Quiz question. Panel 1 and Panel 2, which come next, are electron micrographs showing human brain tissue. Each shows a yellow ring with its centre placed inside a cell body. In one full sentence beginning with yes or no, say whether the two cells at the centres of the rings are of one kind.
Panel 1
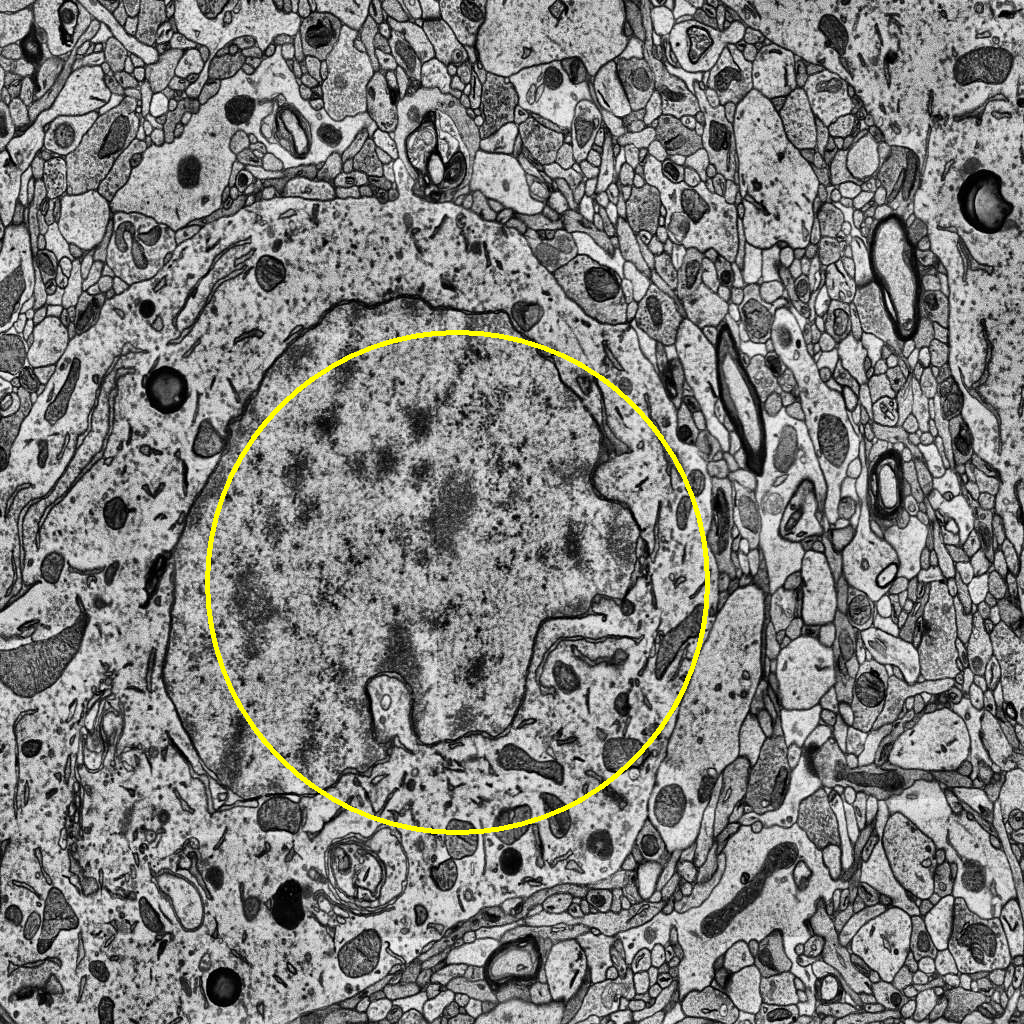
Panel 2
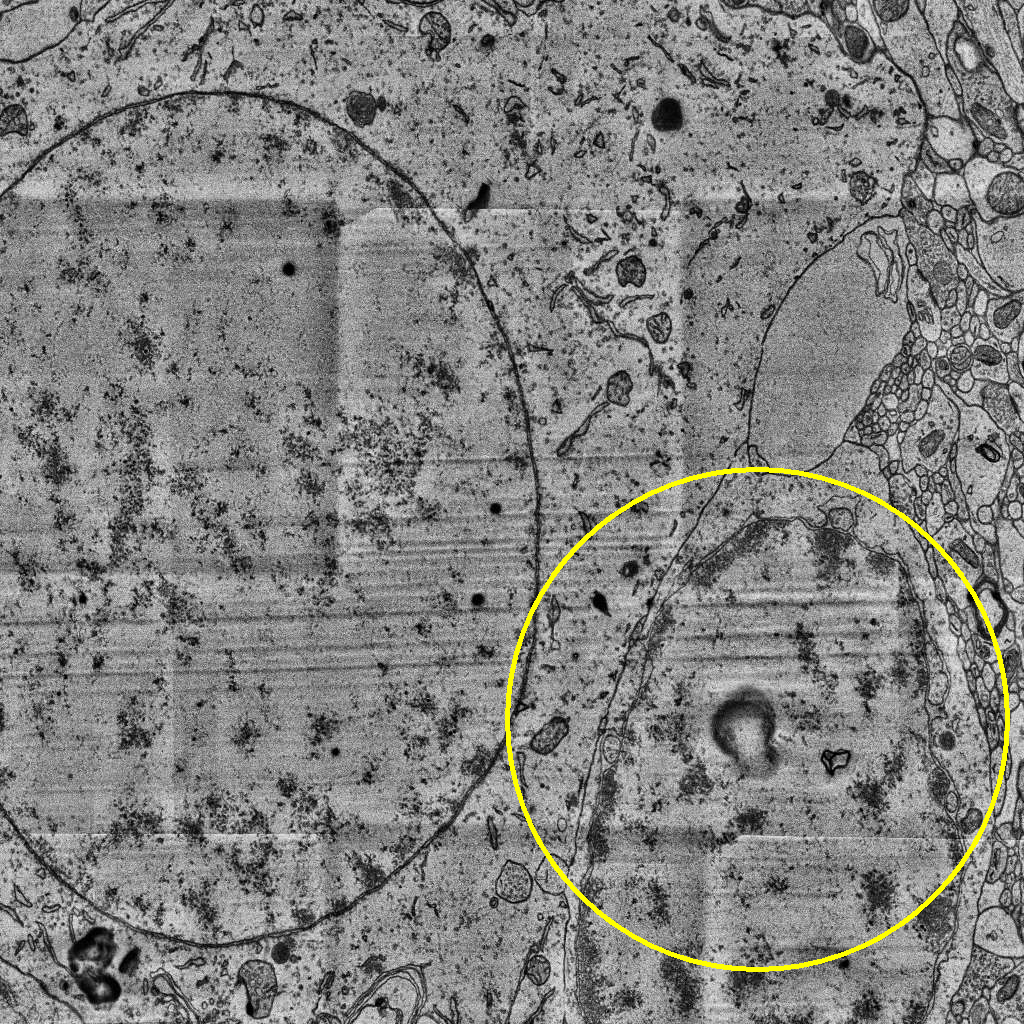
Yes, Panel 1 and Panel 2 show one kind of cell at the centre of the ring.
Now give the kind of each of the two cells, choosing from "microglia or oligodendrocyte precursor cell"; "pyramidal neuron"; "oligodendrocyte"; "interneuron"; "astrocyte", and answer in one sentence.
Both pictures show an interneuron at the centre of the ring.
